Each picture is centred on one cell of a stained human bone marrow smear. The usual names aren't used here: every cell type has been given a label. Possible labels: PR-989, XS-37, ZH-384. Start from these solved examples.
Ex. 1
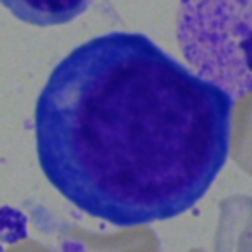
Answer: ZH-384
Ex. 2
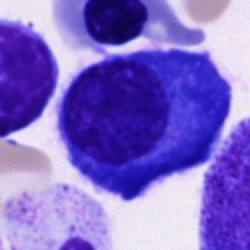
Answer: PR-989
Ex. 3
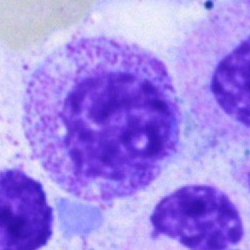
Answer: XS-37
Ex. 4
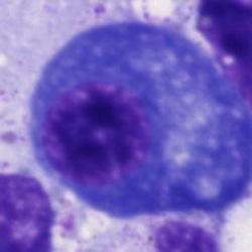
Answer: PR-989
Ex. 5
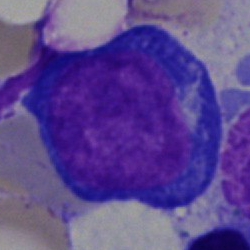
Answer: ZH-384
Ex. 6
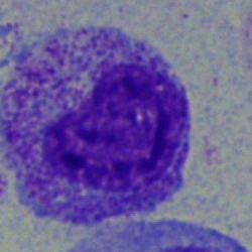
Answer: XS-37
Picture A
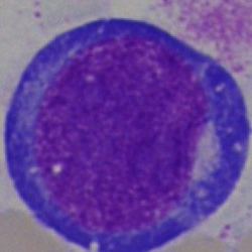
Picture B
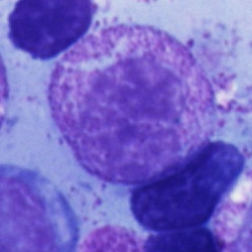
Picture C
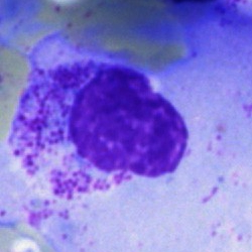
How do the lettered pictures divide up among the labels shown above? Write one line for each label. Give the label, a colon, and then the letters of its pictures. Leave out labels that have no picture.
XS-37: B, C
ZH-384: A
